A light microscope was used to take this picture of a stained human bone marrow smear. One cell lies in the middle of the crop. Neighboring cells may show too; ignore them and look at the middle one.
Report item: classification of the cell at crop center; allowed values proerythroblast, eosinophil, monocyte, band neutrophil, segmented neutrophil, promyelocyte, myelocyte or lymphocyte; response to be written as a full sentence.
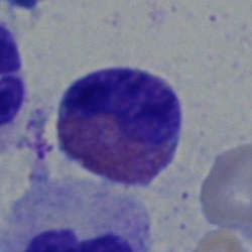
For this crop, the central cell is an eosinophil.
